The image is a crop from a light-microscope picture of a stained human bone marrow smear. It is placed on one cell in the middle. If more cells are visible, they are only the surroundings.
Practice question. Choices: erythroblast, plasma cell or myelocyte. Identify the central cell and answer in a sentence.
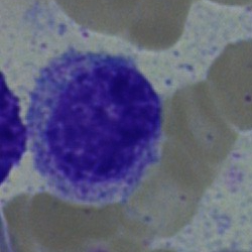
In the center of this field lies a myelocyte.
